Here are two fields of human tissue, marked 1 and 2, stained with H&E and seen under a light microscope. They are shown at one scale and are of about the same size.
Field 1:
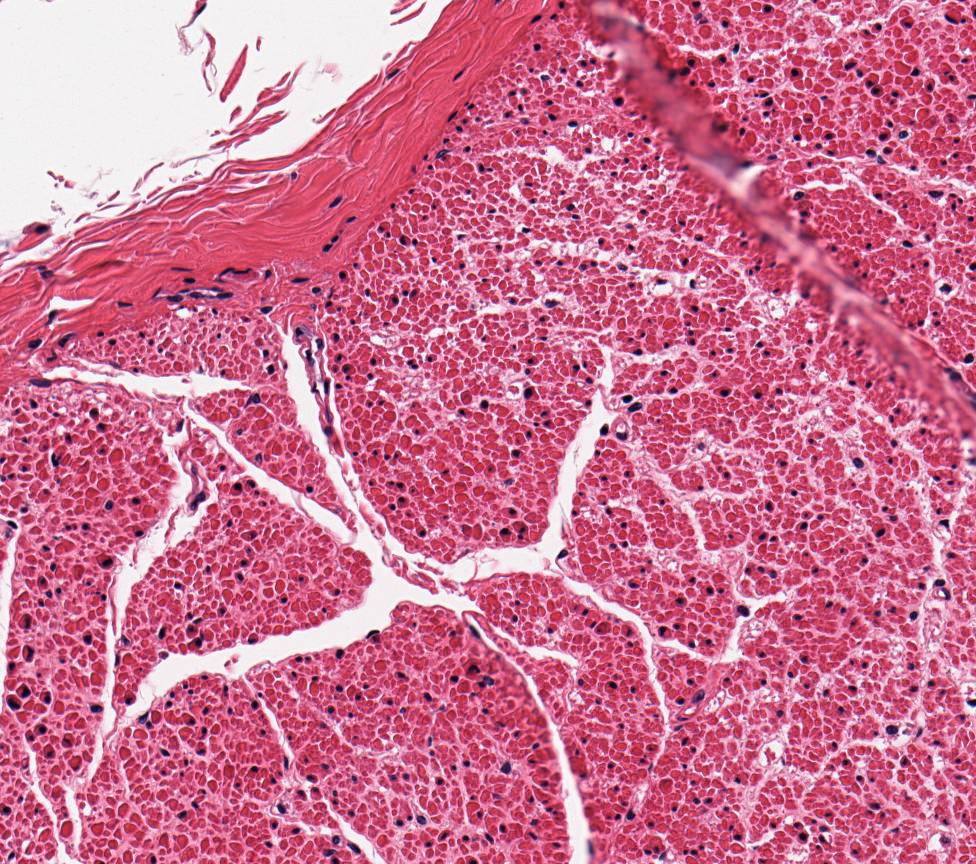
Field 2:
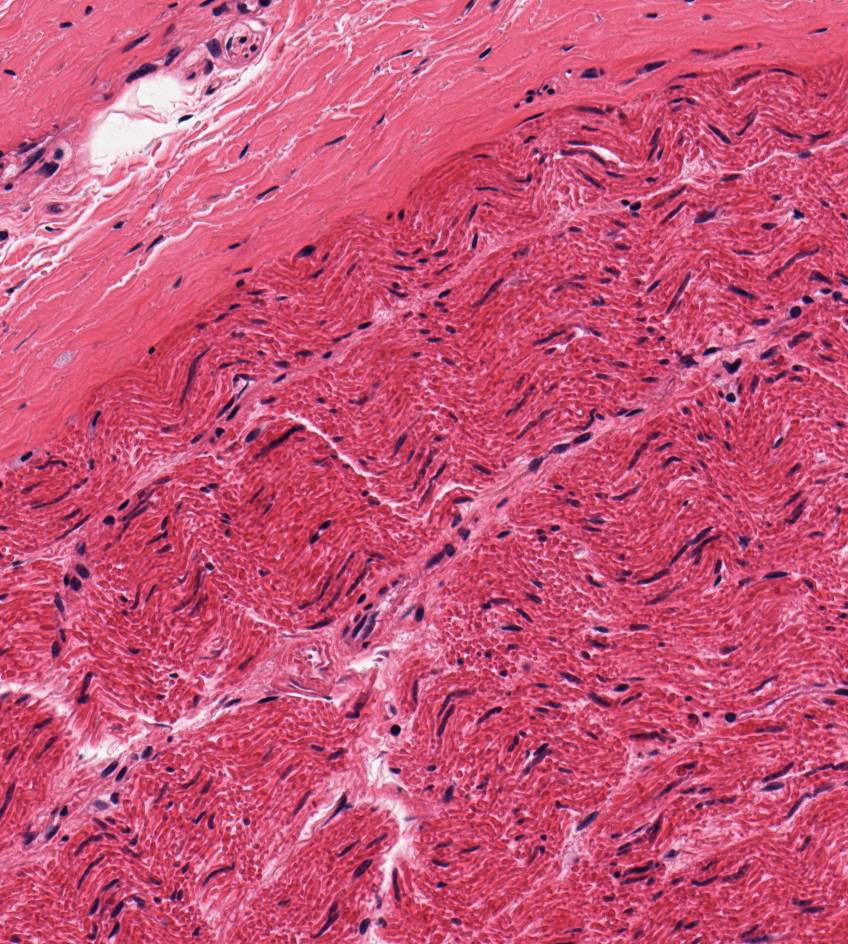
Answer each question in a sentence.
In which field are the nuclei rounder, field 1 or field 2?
The nuclei are rounder in field 1.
